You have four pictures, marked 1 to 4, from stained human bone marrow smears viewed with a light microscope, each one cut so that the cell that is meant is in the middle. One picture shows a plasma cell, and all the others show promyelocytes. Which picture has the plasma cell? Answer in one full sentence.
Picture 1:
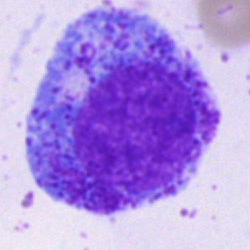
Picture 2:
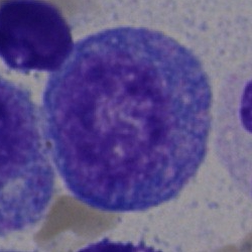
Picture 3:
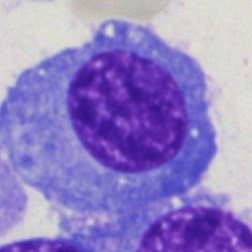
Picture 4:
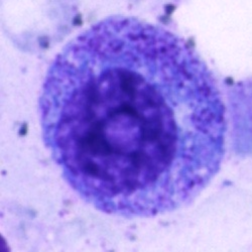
Picture 3 shows the plasma cell.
